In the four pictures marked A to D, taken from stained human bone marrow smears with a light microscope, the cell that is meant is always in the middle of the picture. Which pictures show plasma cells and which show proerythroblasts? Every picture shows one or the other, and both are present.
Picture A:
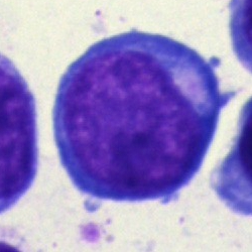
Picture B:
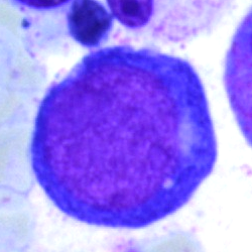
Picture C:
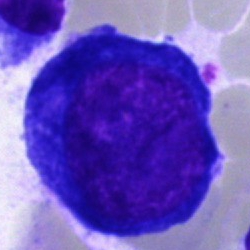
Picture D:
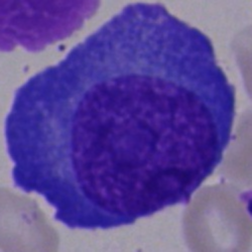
A: proerythroblast
B: proerythroblast
C: proerythroblast
D: plasma cell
